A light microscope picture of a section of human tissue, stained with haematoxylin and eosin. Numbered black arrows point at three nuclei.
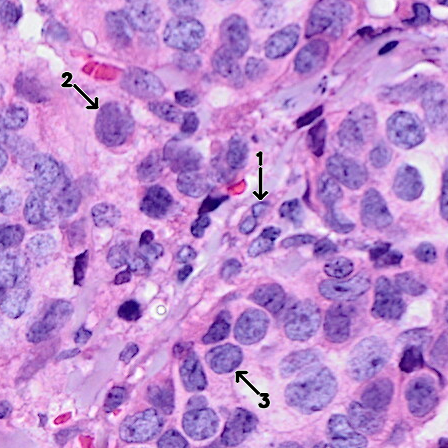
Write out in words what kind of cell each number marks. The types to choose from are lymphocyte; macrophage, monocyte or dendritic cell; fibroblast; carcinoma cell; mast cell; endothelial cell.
Cell 1 is an endothelial cell. Cells 2 and 3 are carcinoma cells.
